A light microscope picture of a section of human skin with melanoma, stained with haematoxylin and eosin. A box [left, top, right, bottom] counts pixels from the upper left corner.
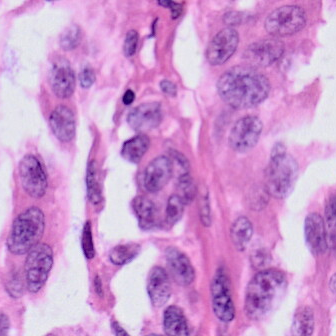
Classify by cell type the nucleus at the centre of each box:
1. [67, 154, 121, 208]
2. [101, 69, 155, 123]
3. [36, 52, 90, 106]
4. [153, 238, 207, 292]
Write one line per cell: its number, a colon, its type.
1: melanoma cell
2: lymphocyte
3: melanoma cell
4: melanoma cell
